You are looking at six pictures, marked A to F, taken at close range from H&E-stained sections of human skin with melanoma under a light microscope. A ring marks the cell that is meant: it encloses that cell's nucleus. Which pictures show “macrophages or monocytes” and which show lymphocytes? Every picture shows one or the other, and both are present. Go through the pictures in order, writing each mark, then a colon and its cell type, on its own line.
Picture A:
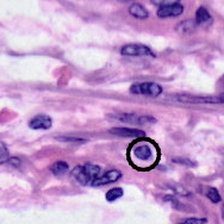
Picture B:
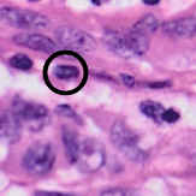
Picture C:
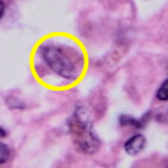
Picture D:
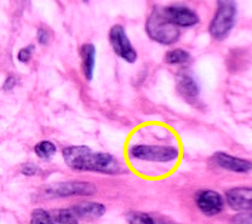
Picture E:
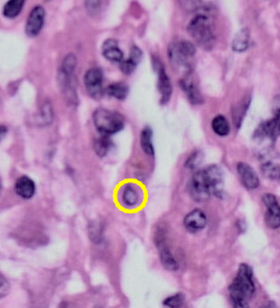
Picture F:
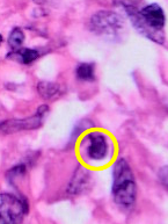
A: lymphocyte
B: lymphocyte
C: macrophage or monocyte
D: macrophage or monocyte
E: macrophage or monocyte
F: lymphocyte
